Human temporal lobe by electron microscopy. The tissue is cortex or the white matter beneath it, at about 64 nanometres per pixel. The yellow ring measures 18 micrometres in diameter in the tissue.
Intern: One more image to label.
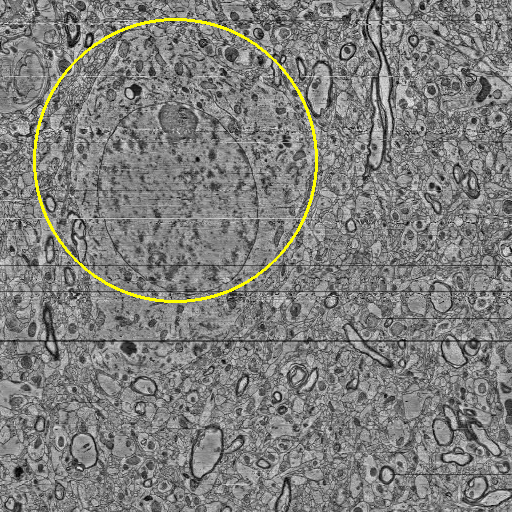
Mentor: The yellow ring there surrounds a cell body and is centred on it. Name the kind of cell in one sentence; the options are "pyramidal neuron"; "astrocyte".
The ring marks the cell body of a pyramidal neuron.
